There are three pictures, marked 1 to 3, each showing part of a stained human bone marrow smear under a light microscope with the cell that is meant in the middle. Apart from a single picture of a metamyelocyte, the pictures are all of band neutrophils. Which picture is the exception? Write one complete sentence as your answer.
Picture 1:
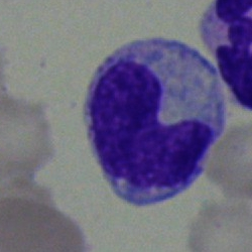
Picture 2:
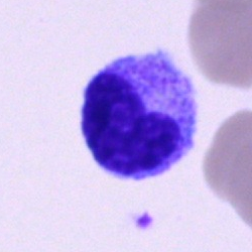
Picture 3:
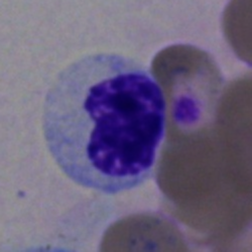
Picture 2 is the one that shows the metamyelocyte.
